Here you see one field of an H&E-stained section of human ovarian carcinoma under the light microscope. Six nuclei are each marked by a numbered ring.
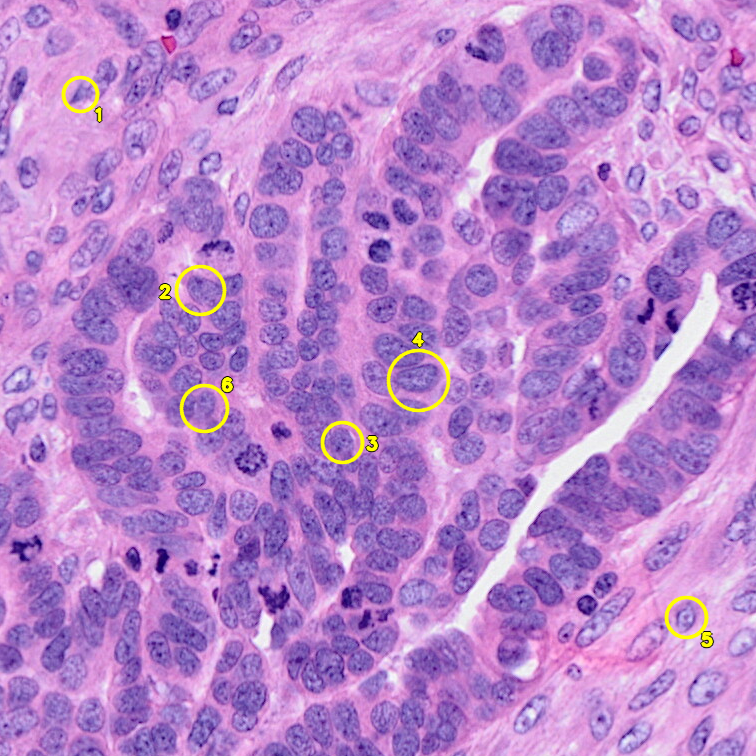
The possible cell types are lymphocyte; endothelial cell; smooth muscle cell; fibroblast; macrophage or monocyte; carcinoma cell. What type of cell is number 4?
carcinoma cell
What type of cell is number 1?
fibroblast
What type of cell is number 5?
fibroblast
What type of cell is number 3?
carcinoma cell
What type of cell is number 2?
carcinoma cell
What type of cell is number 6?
carcinoma cell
